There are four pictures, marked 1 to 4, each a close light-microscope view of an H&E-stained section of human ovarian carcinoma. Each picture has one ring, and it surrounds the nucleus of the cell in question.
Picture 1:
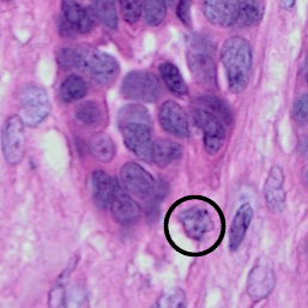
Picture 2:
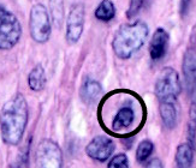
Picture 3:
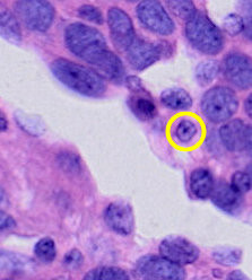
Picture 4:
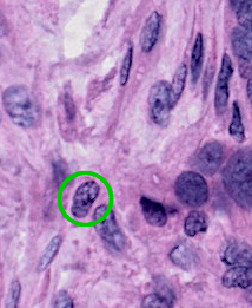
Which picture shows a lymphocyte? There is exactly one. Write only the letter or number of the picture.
2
